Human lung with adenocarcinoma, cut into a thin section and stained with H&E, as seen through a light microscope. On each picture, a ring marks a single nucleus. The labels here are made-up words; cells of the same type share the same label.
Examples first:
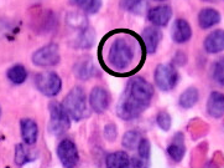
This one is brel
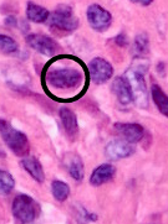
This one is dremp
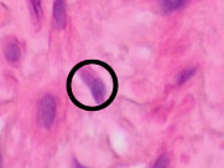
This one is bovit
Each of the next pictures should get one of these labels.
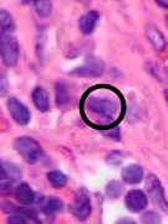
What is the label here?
dremp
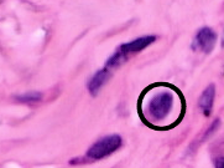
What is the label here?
dremp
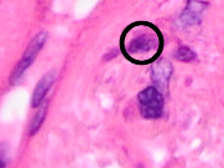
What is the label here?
dremp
